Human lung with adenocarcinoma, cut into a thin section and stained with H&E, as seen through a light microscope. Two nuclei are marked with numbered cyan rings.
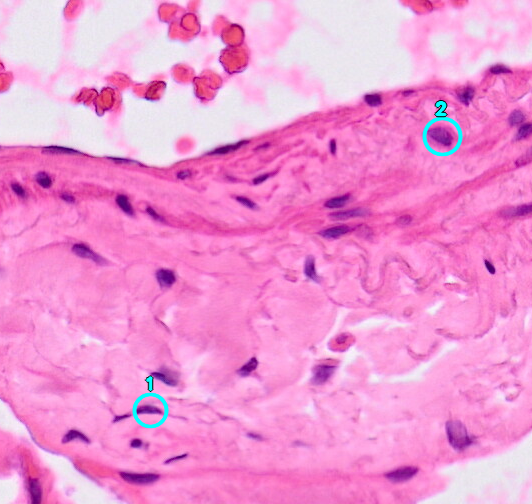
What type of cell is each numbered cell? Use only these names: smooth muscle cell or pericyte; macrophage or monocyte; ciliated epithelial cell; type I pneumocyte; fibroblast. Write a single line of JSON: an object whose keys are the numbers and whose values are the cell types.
{"1": "fibroblast", "2": "smooth muscle cell or pericyte"}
